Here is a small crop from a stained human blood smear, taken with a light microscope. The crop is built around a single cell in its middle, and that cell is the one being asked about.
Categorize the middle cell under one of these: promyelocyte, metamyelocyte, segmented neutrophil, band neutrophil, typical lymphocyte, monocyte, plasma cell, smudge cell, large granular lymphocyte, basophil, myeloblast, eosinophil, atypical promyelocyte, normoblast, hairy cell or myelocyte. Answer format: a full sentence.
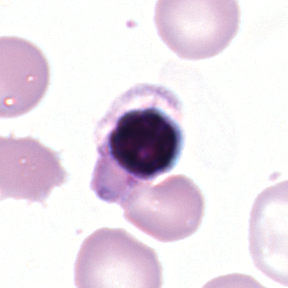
The central cell, amid any neighbouring cells, is a normoblast.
